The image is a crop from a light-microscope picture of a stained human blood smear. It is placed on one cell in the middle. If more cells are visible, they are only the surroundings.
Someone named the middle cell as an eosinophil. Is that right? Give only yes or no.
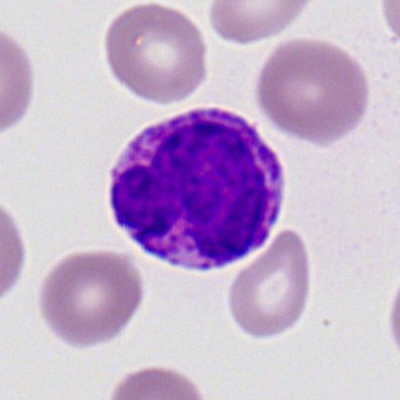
no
